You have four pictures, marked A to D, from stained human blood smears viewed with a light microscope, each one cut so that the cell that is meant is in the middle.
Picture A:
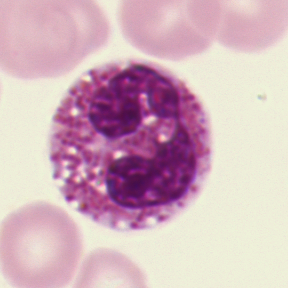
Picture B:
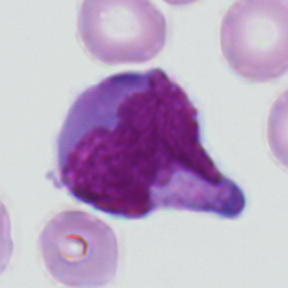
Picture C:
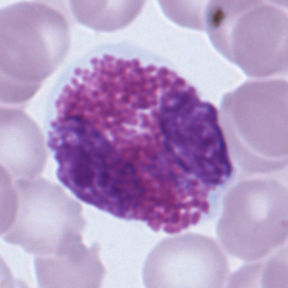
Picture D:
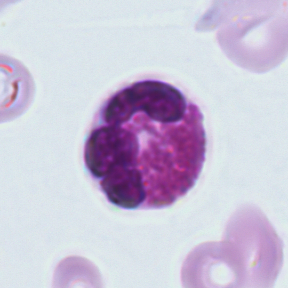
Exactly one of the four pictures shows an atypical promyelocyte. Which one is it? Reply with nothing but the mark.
B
